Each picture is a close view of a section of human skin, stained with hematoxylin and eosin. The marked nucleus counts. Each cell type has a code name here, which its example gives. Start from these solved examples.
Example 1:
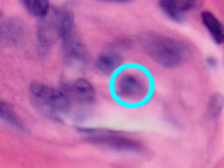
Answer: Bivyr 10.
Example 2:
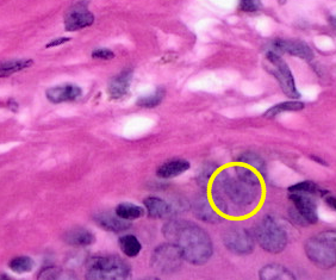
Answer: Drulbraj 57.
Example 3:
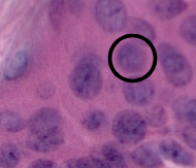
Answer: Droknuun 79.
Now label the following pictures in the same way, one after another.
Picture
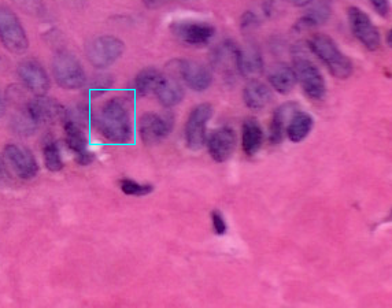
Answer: Drulbraj 57.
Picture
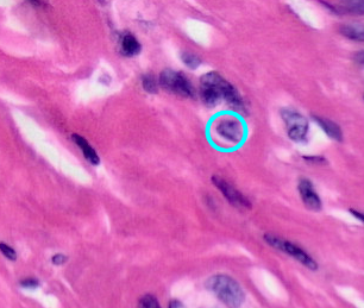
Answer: Bivyr 10.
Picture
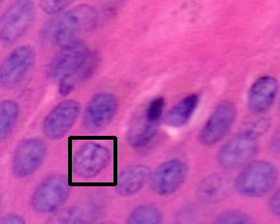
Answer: Droknuun 79.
